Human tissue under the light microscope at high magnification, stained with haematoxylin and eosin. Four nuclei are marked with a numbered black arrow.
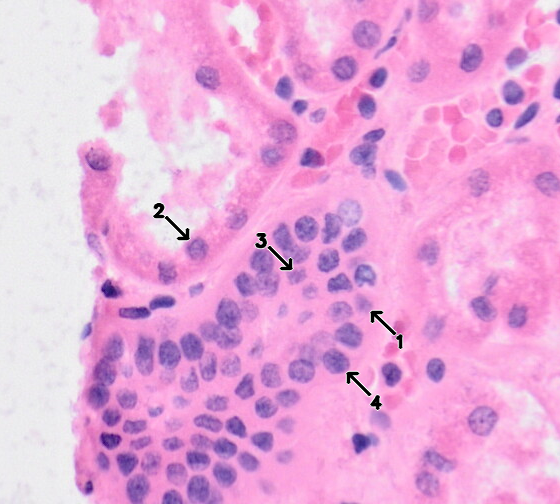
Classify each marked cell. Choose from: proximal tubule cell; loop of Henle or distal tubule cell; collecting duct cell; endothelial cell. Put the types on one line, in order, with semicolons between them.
collecting duct cell; proximal tubule cell; collecting duct cell; collecting duct cell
